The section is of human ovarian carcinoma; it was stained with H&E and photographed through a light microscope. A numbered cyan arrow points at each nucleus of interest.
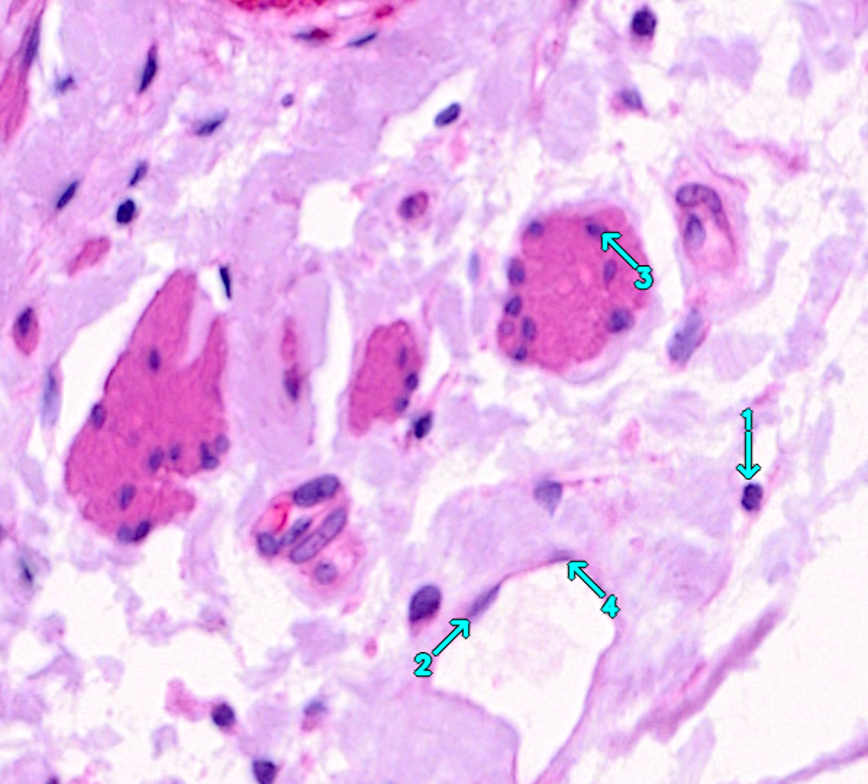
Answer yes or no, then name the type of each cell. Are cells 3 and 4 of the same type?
No, cell 3 is a smooth muscle cell and cell 4 is an endothelial cell.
